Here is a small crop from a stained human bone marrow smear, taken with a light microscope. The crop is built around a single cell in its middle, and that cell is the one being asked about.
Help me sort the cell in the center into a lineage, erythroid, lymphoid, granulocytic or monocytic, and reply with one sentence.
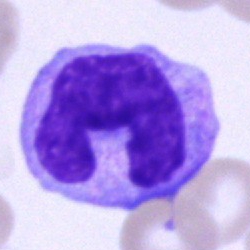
Counted among cells of the monocytic lineage is the central cell.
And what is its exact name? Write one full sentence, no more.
The crop shows a monocyte in its centre.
